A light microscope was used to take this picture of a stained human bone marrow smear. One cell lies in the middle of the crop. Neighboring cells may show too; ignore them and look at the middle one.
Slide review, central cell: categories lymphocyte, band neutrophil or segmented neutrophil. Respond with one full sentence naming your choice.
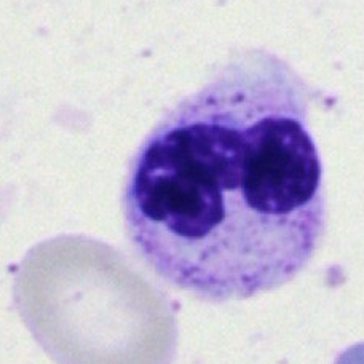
The middle of this crop holds a segmented neutrophil.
